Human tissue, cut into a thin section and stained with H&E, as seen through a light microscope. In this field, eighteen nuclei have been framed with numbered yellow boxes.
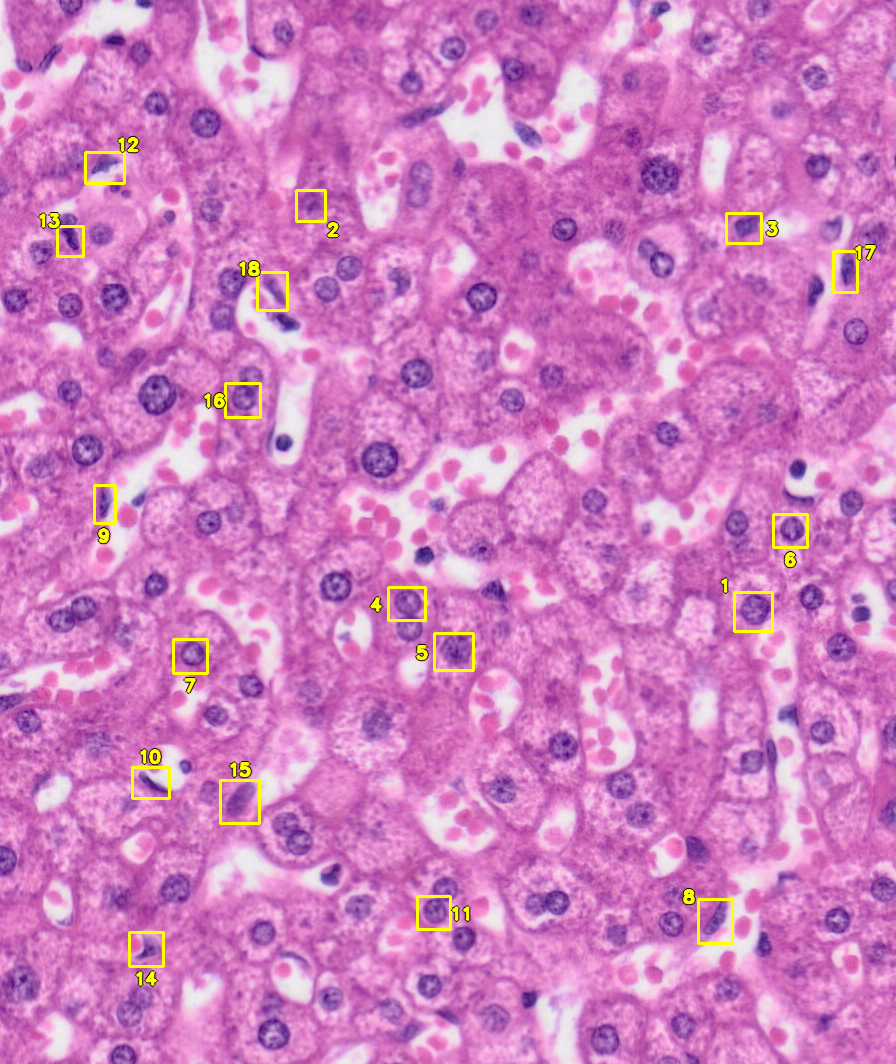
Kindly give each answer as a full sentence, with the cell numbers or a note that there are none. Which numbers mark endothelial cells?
The cells with numbers 9, 10, 12 and 14 are endothelial cells by type.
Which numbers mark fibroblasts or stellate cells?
Identification: the cells with numbers 3, 13 and 17 are fibroblasts or stellate cells.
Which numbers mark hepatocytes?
As for the cells numbered 1, 2, 4, 5, 6, 7, 11 and 16, they are hepatocytes.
